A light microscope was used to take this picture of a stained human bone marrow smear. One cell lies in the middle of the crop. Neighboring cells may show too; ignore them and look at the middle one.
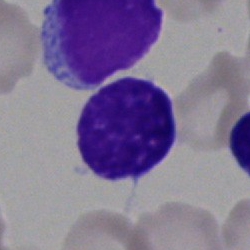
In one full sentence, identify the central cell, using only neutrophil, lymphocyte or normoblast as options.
The single cell at the center of the crop is a lymphocyte.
